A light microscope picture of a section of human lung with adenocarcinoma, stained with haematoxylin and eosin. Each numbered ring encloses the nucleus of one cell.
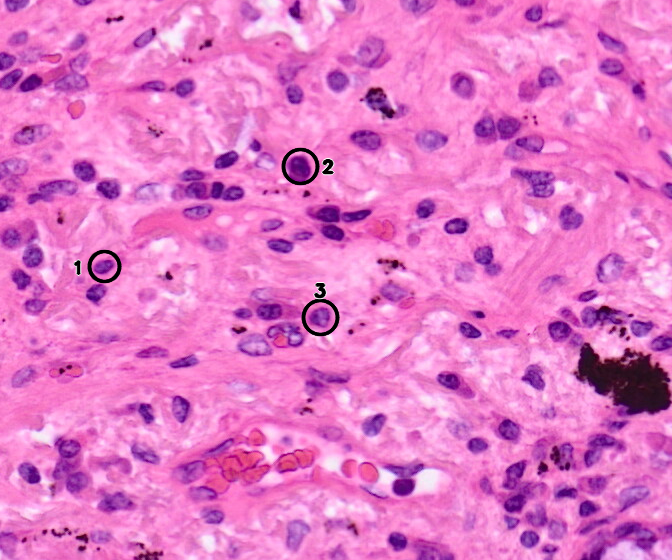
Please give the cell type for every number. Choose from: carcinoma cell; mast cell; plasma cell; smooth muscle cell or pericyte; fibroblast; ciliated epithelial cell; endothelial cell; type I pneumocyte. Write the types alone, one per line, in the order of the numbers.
mast cell
plasma cell
mast cell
